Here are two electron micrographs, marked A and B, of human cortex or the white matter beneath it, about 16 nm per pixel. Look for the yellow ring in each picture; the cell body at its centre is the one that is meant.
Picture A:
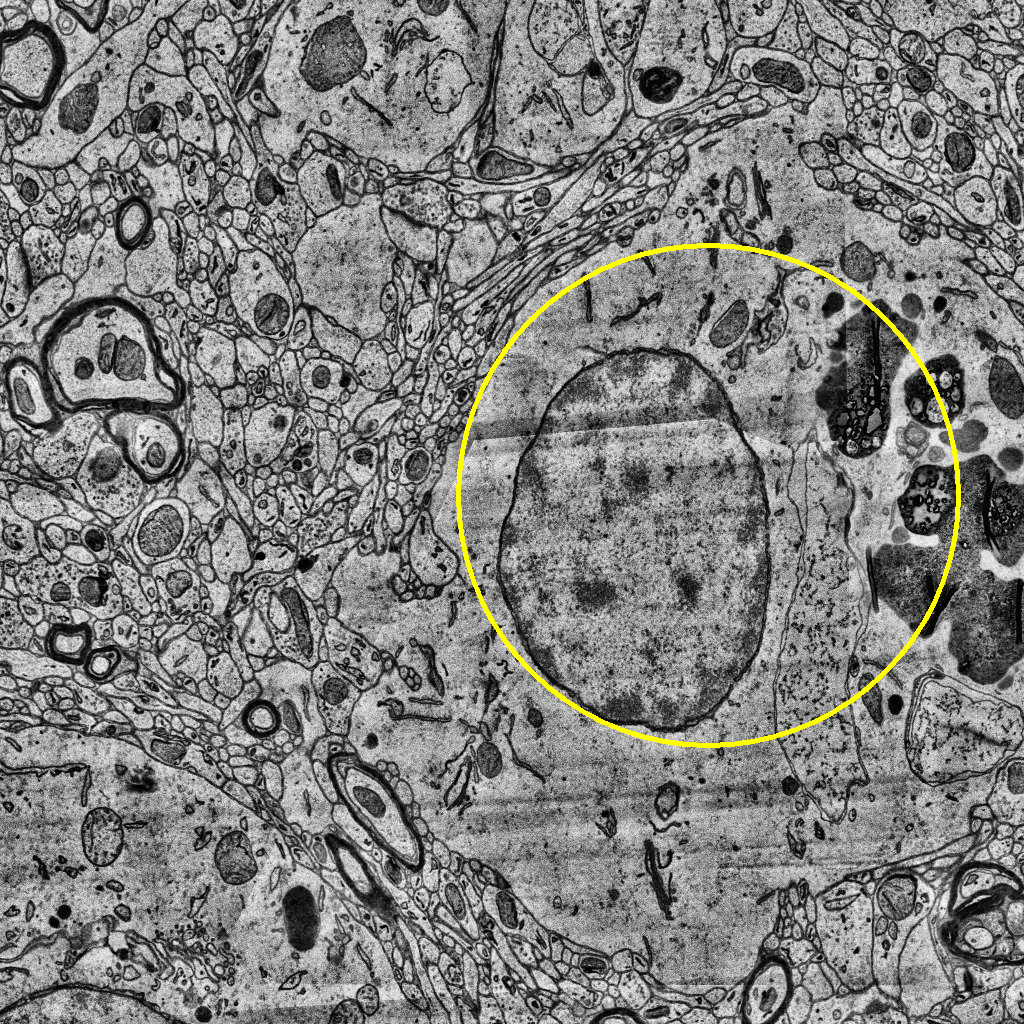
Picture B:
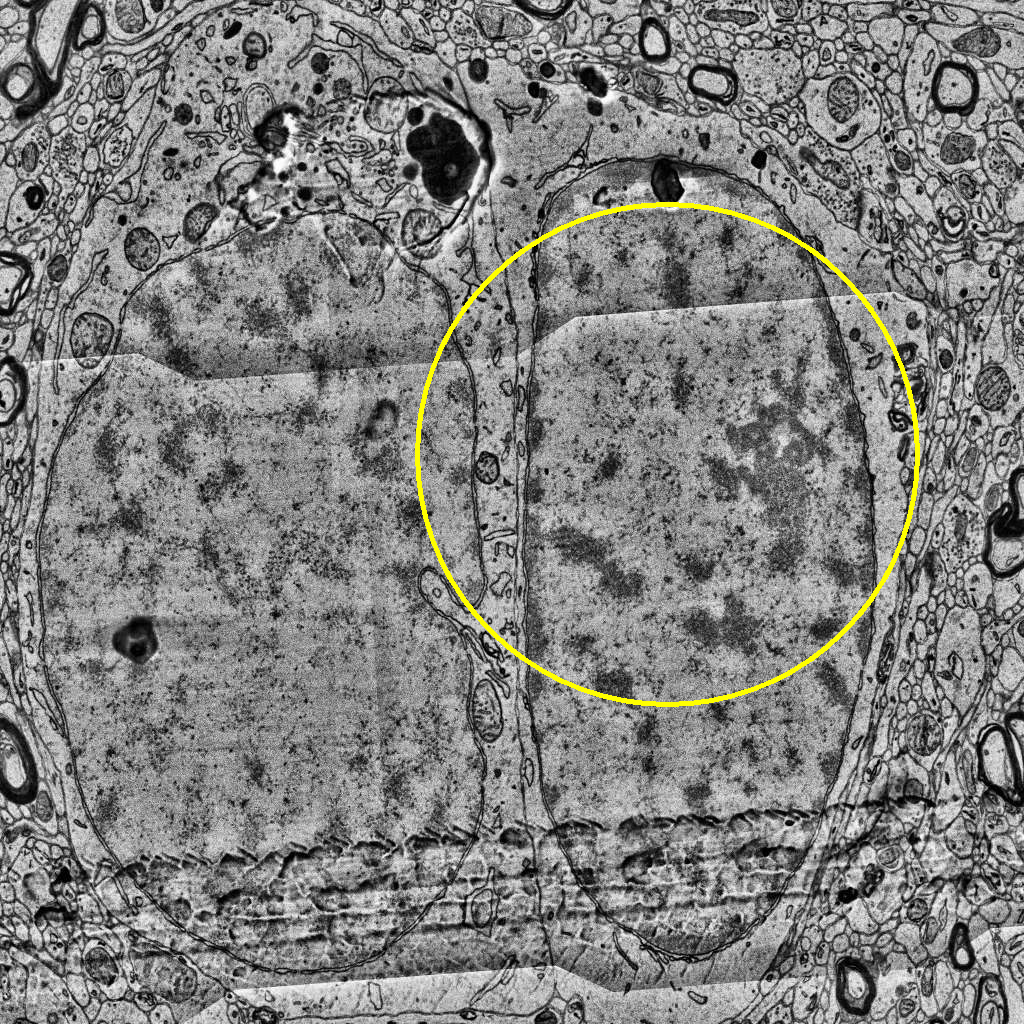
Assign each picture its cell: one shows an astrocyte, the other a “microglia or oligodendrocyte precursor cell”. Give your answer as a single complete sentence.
In picture A the cell is an astrocyte; in picture B, a “microglia or oligodendrocyte precursor cell”.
